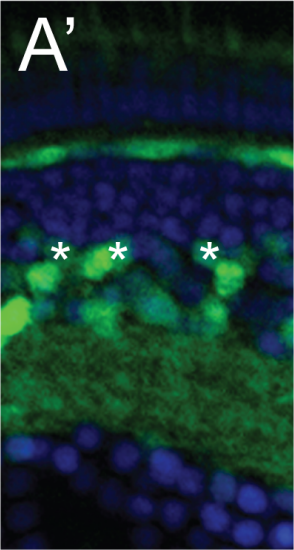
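Retinal section with round green amacrine cell bodies lined up at the inner border of the inner nuclear layer, among blue nuclei. Below them the inner plexiform layer is a wide band of diffuse green neuropil without nuclei, and beneath it lies a row of blue ganglion cell layer nuclei. Near the top a thin bright green band runs along the outer plexiform layer.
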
